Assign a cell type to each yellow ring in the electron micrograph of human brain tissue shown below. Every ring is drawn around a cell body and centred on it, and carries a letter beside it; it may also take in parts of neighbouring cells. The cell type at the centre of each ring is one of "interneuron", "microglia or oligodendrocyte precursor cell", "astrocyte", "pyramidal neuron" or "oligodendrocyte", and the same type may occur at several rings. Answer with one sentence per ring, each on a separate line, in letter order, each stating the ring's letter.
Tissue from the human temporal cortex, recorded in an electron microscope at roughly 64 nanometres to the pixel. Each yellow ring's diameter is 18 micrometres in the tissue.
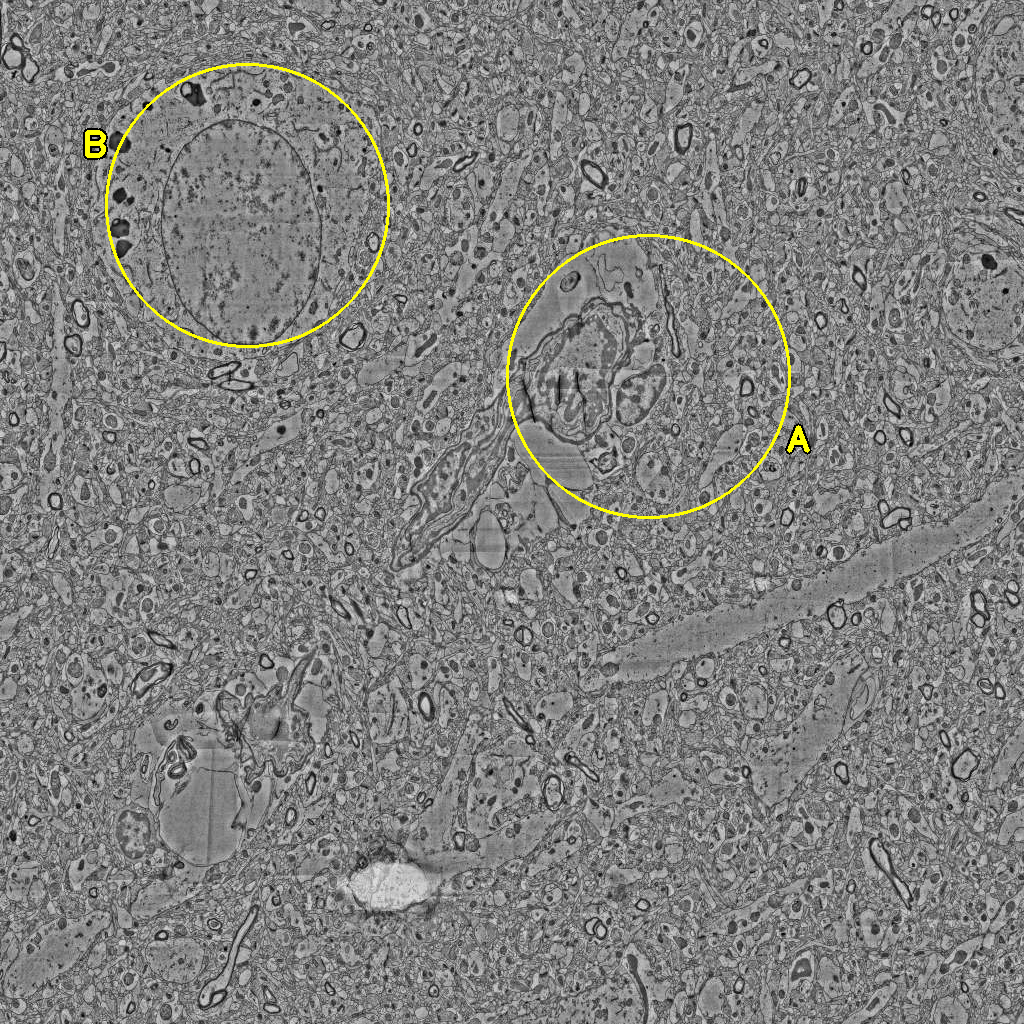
The cell at ring A's centre is a microglial cell or oligodendrocyte precursor cell.
The cell at ring B's centre is a pyramidal neuron.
